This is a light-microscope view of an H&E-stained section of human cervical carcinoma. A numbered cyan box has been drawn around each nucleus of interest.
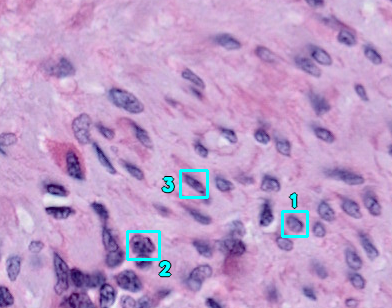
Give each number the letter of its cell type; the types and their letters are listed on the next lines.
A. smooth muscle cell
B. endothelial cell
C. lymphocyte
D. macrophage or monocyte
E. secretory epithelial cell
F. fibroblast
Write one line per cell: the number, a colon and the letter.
1: A
2: C
3: A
